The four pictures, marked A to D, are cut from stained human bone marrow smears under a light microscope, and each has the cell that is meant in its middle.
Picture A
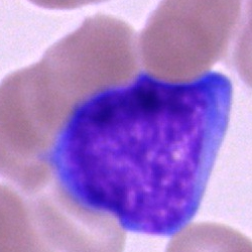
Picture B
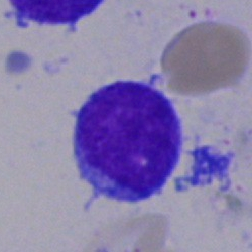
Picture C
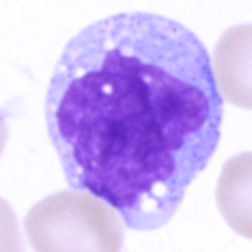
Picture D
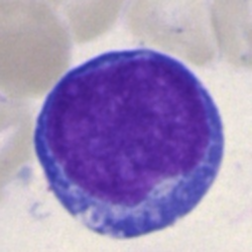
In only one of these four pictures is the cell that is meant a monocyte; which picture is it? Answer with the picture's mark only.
C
